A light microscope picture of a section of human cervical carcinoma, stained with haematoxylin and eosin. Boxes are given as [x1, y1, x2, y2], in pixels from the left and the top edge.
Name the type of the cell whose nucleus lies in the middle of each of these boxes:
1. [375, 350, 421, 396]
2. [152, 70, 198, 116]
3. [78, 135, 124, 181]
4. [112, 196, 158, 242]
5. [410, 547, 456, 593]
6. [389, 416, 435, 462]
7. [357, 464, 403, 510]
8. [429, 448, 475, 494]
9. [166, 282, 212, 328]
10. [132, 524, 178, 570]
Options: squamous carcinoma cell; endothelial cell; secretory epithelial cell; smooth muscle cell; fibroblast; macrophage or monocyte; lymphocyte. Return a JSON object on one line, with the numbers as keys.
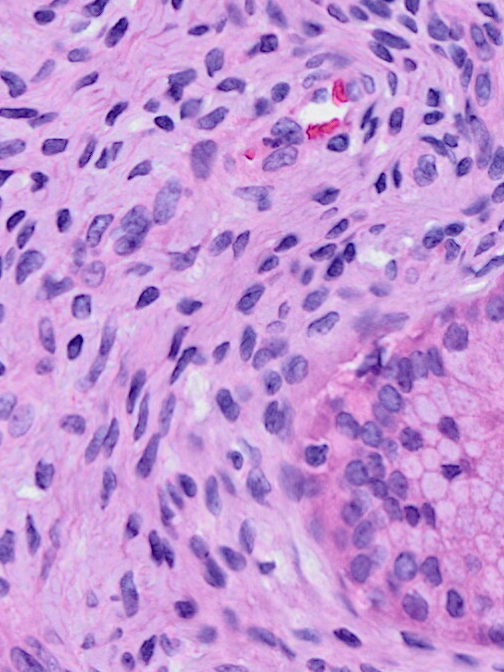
{"1": "secretory epithelial cell", "2": "fibroblast", "3": "fibroblast", "4": "endothelial cell", "5": "secretory epithelial cell", "6": "secretory epithelial cell", "7": "secretory epithelial cell", "8": "secretory epithelial cell", "9": "fibroblast", "10": "fibroblast"}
